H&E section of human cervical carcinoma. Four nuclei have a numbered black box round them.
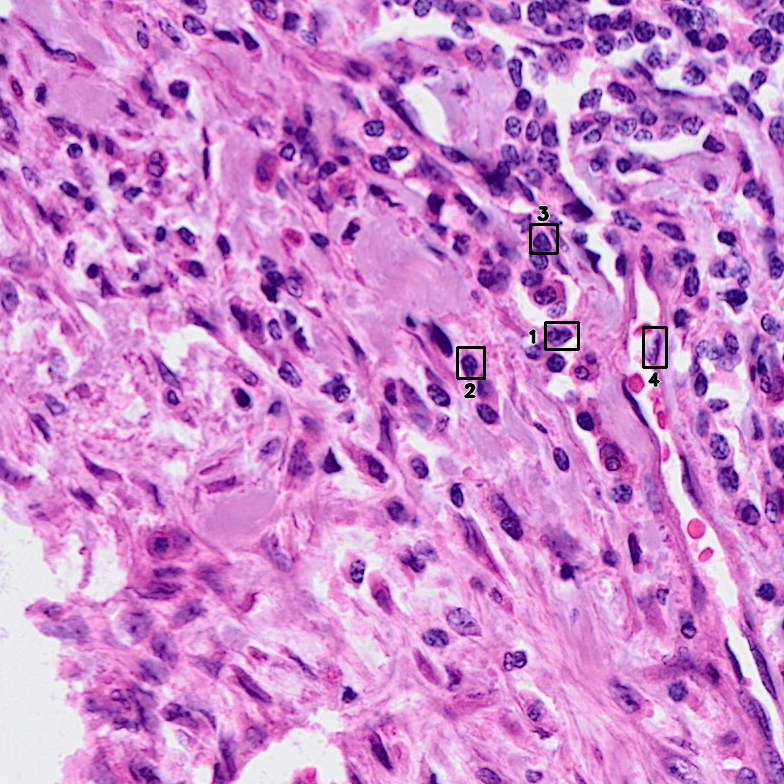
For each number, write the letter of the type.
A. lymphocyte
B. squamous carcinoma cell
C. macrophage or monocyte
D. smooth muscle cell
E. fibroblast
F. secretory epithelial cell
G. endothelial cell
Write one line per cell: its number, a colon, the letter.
1: A
2: A
3: A
4: G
